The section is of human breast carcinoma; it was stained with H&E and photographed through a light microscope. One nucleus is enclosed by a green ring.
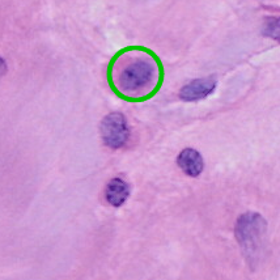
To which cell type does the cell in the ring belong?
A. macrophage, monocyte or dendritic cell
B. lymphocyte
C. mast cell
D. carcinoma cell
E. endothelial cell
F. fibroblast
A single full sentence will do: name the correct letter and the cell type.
Option C, which has the cell in the ring as a mast cell, is the correct choice.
